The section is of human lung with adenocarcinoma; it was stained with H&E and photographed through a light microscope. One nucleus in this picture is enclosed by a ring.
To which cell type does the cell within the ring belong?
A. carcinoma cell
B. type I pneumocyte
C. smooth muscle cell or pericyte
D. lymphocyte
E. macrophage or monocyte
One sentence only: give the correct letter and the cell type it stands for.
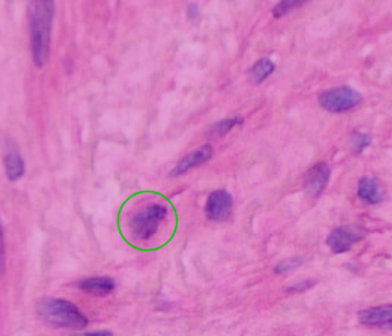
The correct option is C, and the cell within the ring is a smooth muscle cell or pericyte.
